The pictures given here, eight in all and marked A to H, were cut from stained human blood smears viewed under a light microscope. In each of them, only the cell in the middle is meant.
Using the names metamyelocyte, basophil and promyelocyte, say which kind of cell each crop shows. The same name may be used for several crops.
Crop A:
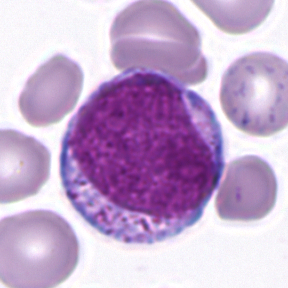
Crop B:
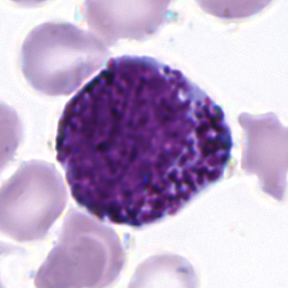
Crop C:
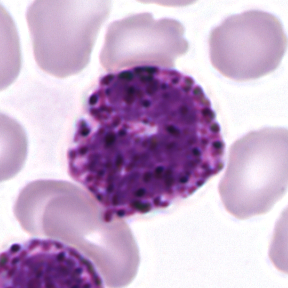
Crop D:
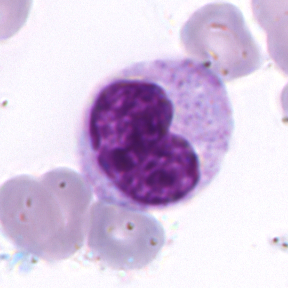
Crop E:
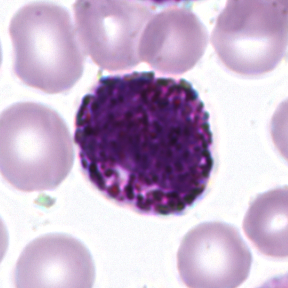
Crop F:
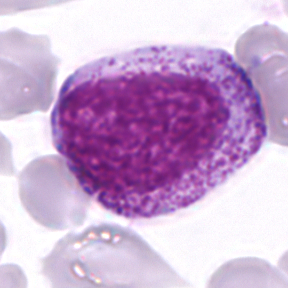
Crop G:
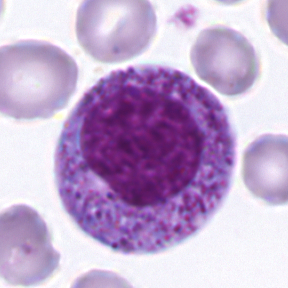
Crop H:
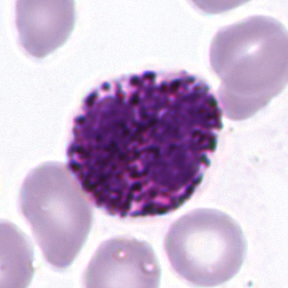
A: promyelocyte
B: basophil
C: basophil
D: metamyelocyte
E: basophil
F: promyelocyte
G: promyelocyte
H: basophil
